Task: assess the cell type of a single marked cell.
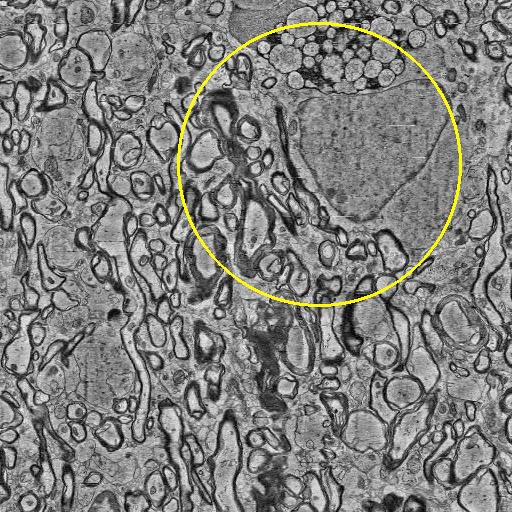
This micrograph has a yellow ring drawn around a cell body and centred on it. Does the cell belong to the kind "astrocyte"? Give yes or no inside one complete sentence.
Yes, the marked cell at the centre of the ring belongs to that kind.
